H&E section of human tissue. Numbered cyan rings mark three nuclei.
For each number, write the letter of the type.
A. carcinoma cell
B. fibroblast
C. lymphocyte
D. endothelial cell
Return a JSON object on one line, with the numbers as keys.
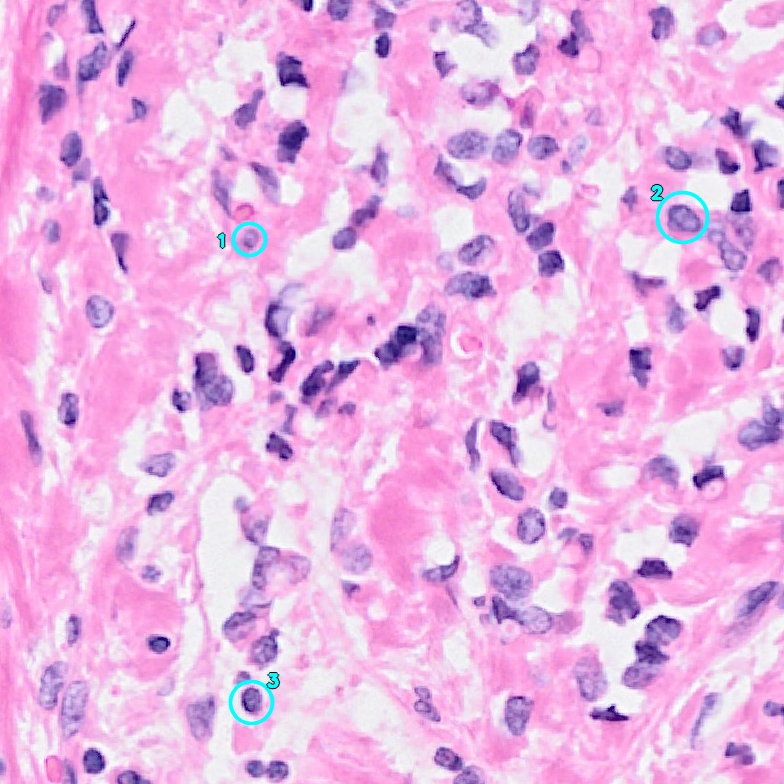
{"1": "D", "2": "A", "3": "C"}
